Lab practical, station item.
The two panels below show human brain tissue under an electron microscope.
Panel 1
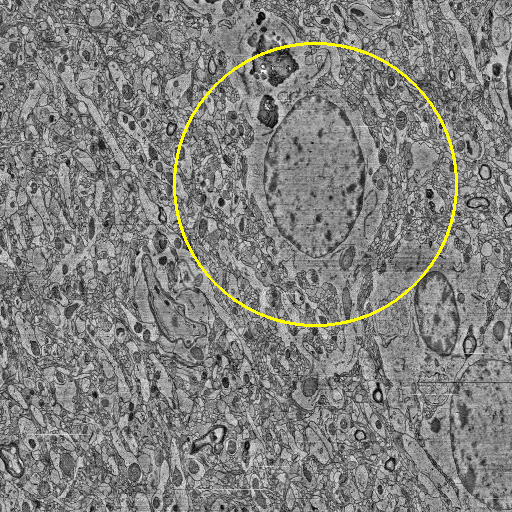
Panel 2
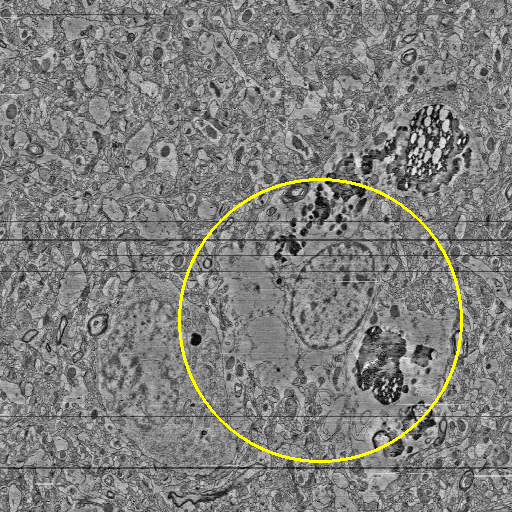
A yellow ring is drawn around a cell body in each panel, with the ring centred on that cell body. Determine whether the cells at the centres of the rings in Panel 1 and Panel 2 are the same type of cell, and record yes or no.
yes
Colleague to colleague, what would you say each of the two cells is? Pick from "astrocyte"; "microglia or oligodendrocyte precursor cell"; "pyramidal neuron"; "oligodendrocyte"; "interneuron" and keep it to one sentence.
Each cell, in the first picture and the second, is an astrocyte.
